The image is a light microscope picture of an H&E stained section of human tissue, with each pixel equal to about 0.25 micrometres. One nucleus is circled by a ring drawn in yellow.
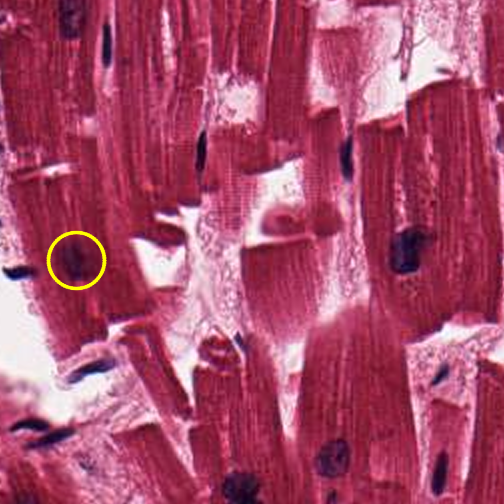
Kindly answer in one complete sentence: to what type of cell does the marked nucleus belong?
The marked nucleus belongs, in this picture, to a cardiomyocyte.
